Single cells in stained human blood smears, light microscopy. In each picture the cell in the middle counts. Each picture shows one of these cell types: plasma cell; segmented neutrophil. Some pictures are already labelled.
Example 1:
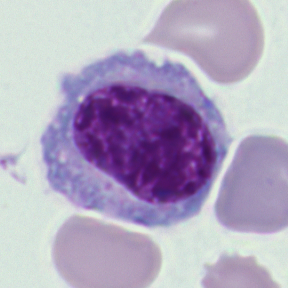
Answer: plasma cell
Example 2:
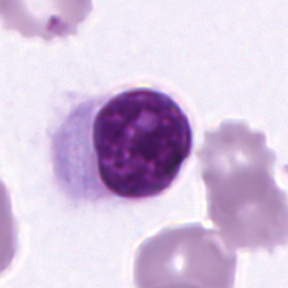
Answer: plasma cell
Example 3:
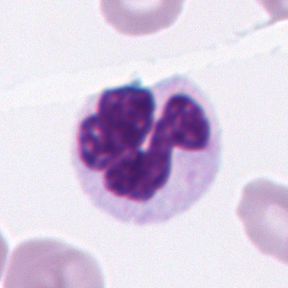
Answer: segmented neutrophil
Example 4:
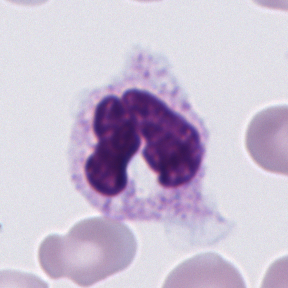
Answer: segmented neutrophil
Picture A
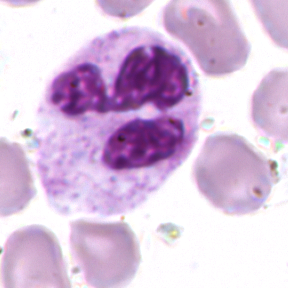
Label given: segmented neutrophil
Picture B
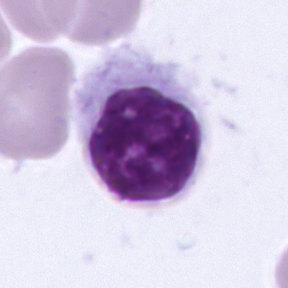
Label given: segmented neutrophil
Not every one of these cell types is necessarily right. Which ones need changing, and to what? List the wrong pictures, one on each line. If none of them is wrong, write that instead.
B: plasma cell, not segmented neutrophil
